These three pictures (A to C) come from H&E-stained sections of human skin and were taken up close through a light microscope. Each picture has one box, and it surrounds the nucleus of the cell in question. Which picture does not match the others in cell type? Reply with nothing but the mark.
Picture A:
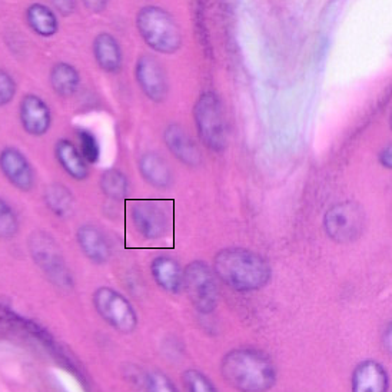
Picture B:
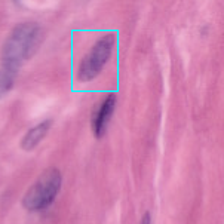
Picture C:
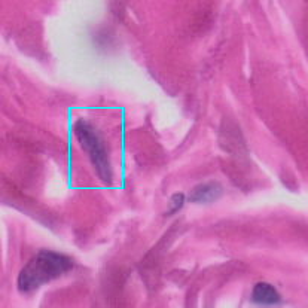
A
